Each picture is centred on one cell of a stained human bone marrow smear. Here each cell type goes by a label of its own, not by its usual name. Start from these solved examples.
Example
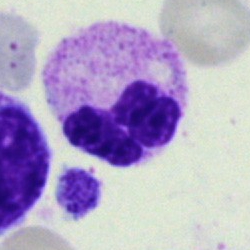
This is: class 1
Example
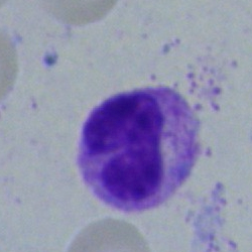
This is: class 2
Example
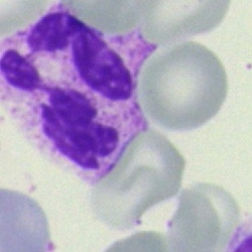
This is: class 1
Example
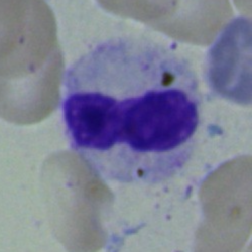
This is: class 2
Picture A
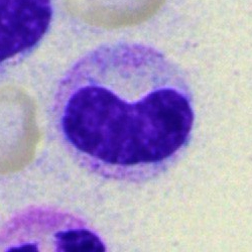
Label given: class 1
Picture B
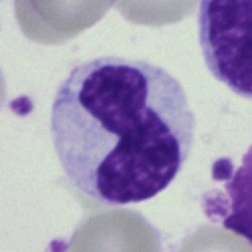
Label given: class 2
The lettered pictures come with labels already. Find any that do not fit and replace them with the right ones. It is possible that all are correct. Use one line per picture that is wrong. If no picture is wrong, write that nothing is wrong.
A should be class 2, not class 1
